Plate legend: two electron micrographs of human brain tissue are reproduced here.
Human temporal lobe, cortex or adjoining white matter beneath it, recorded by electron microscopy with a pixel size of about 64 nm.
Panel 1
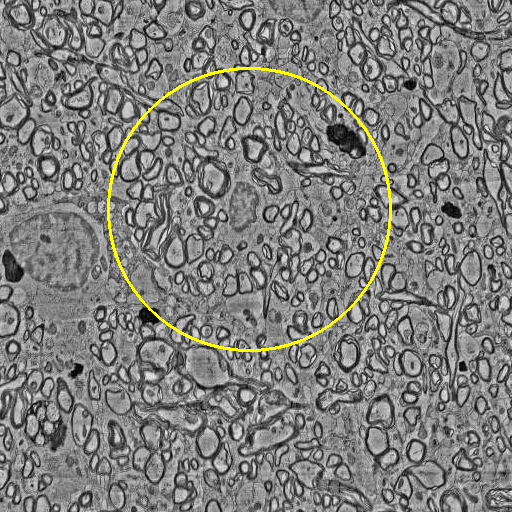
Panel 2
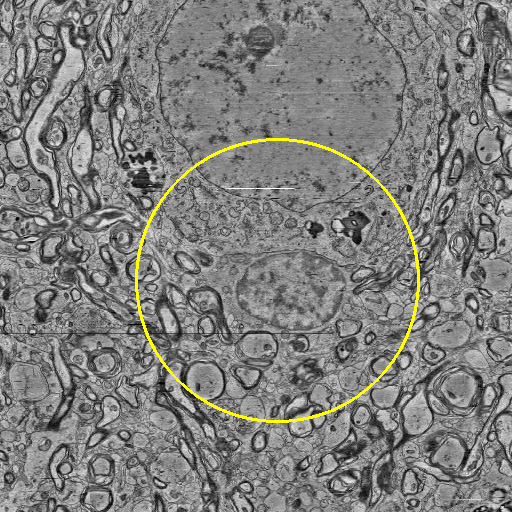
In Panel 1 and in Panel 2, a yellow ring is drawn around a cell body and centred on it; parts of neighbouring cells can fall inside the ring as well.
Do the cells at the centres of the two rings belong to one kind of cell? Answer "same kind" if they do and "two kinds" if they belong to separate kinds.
same kind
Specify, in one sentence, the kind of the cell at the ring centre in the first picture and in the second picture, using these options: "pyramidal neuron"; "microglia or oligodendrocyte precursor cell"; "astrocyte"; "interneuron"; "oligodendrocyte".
Each cell at the centre of a ring is an oligodendrocyte.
